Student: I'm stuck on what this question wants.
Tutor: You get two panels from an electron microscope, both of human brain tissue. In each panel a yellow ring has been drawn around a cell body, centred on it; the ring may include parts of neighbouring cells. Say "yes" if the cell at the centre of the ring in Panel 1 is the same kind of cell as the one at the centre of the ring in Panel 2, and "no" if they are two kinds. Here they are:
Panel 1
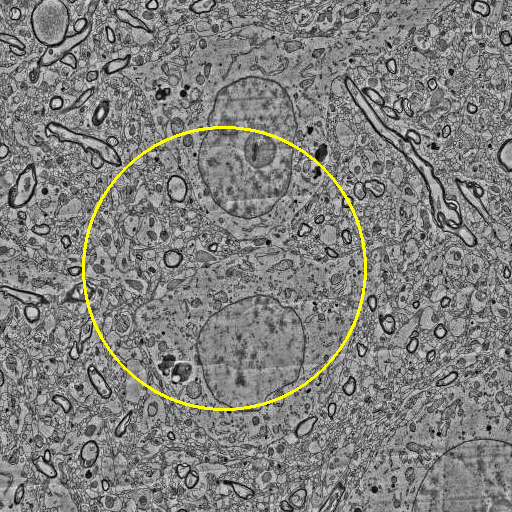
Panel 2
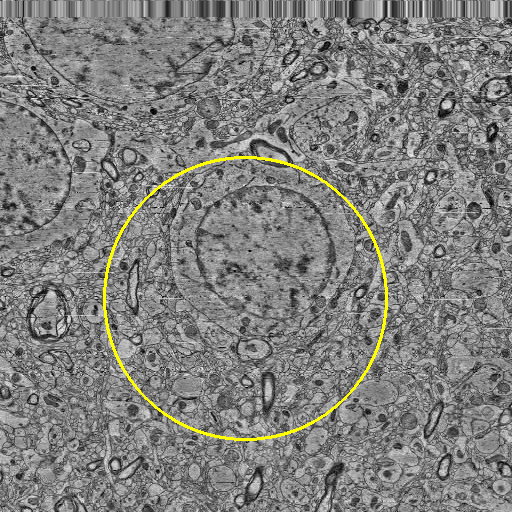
no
